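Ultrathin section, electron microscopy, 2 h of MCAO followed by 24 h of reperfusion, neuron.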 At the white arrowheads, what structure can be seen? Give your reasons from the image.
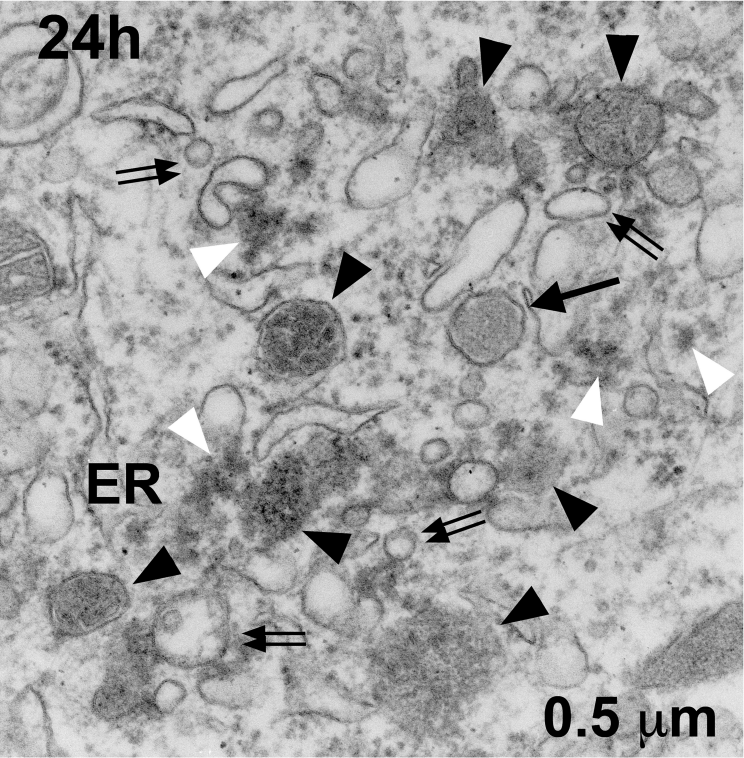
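Protein aggregates. Irregular, fluffy dark clumps in the cytoplasm. The clumps have no surrounding membrane.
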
